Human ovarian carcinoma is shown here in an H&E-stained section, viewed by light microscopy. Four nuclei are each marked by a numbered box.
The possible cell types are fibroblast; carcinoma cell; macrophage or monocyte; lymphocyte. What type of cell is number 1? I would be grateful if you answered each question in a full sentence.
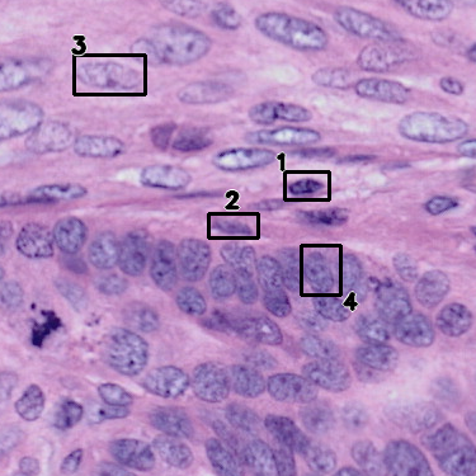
The marked cell bearing number 1 is a lymphocyte.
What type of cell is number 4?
The marked nucleus 4 is that of a carcinoma cell.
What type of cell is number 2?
The numbered cell 2 in this field is a fibroblast.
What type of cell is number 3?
Identified by the number 3, the cell is a fibroblast.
